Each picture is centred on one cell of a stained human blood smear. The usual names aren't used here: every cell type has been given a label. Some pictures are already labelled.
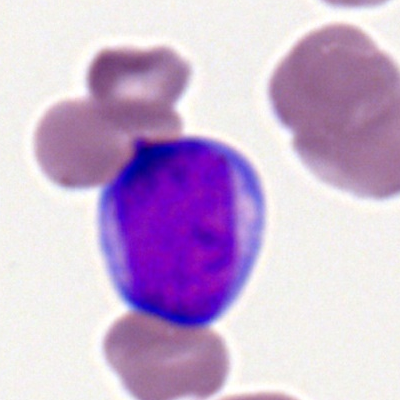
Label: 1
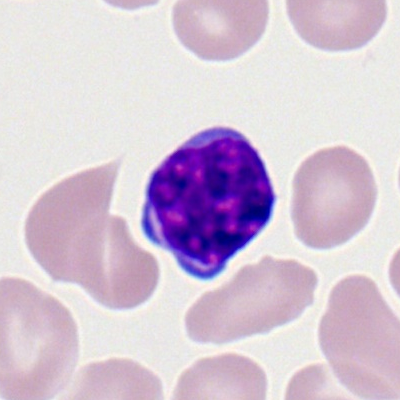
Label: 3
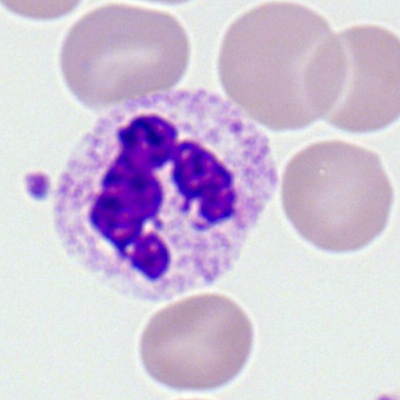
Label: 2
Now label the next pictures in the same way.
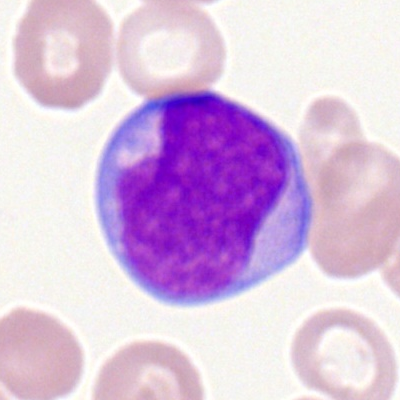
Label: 1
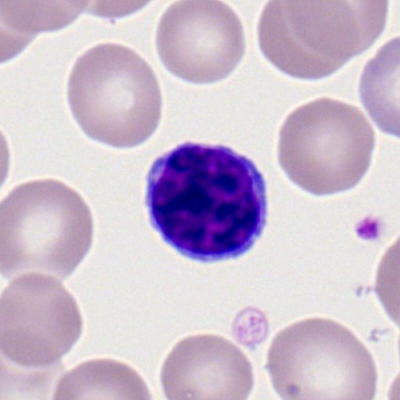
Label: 3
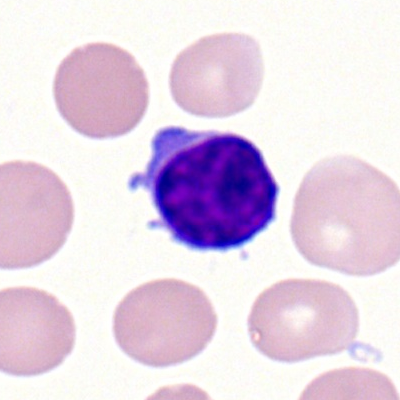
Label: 3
